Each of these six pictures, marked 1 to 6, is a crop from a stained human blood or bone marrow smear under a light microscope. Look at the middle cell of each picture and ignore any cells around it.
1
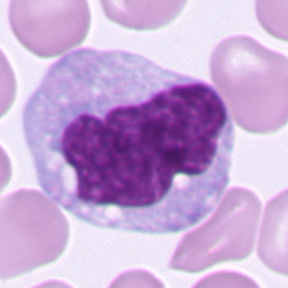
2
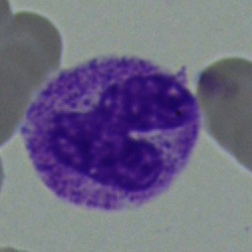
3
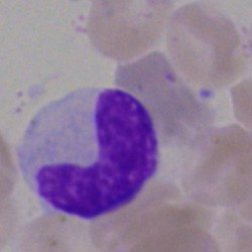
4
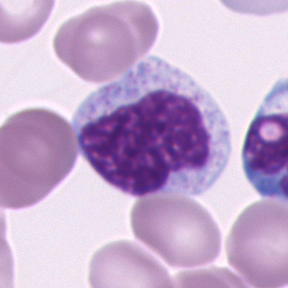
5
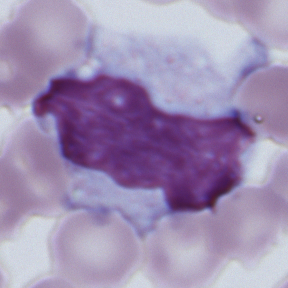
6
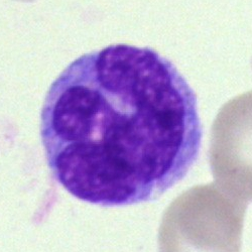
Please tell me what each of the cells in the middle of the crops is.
1: monocyte
2: band neutrophil
3: band neutrophil
4: band neutrophil
5: monocyte
6: monocyte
